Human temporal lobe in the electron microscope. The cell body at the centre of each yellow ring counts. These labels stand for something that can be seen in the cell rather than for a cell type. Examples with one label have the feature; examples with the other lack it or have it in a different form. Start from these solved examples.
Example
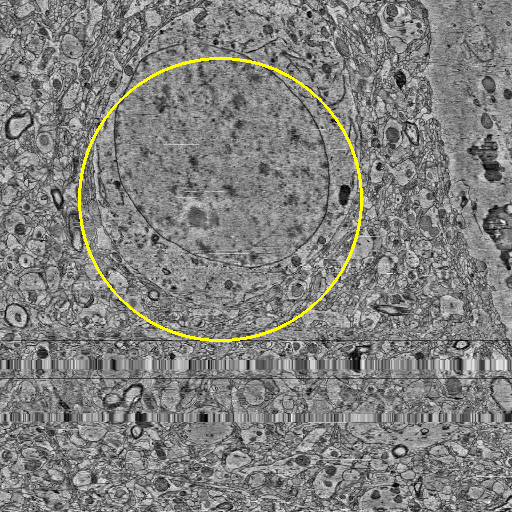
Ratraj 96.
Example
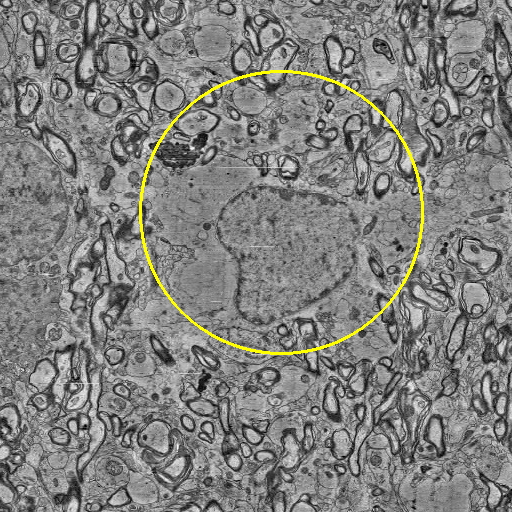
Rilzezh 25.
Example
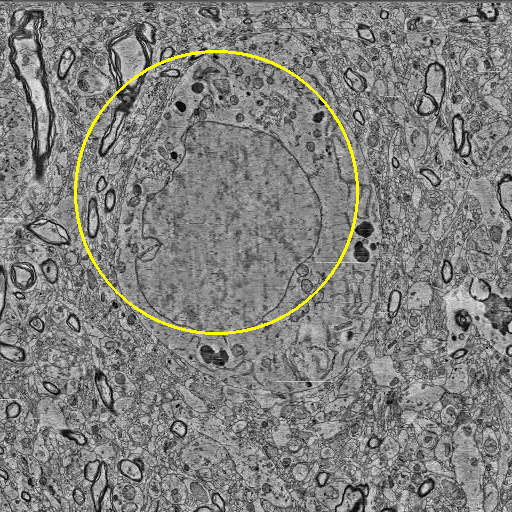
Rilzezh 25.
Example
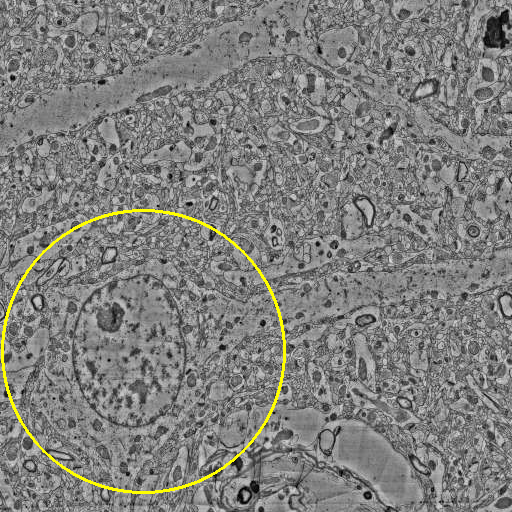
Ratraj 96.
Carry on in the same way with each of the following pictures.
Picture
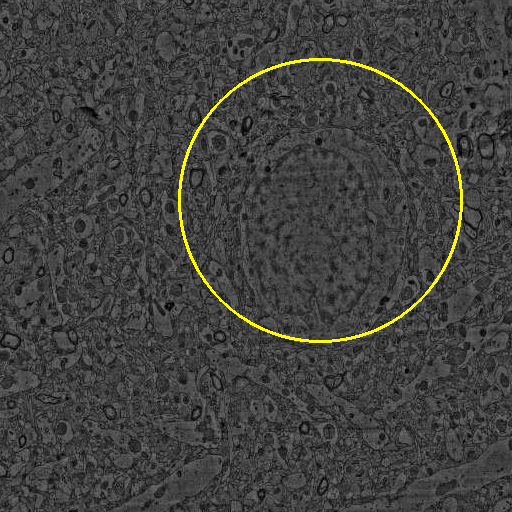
Ratraj 96.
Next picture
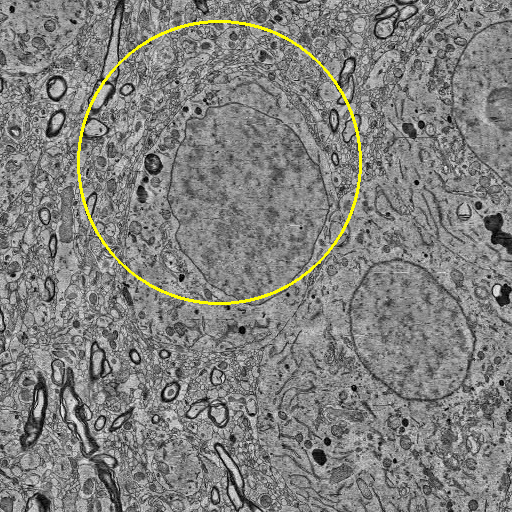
Ratraj 96.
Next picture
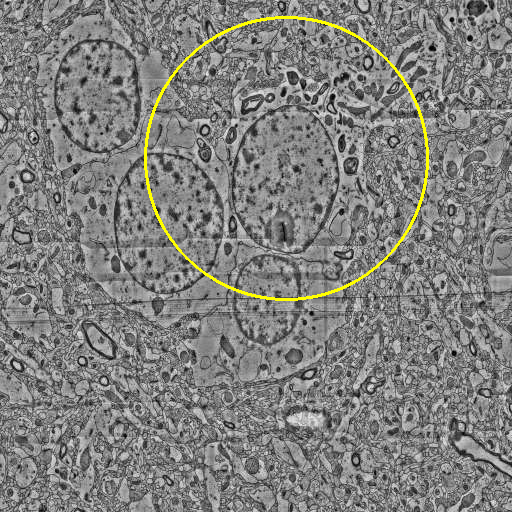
Rilzezh 25.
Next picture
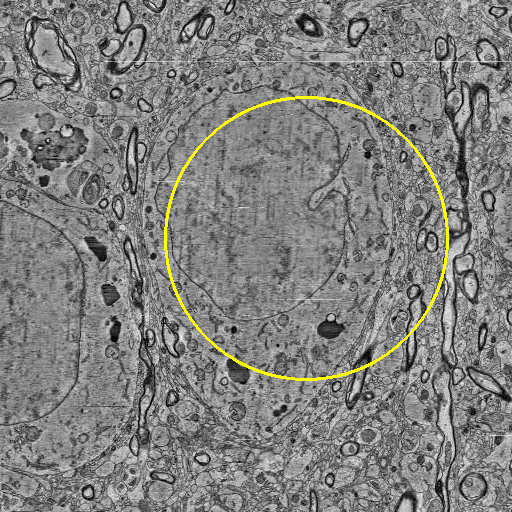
Rilzezh 25.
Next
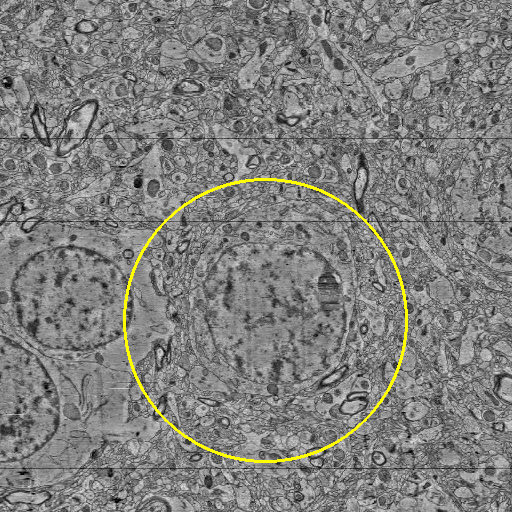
Ratraj 96.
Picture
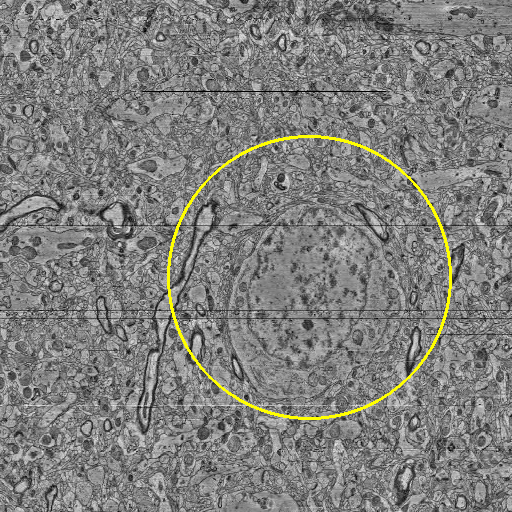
Ratraj 96.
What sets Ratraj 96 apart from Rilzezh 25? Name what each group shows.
Seen in Ratraj 96: smooth nuclear envelopes without deep folds; seen in Rilzezh 25: deeply folded or indented nuclear envelopes.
